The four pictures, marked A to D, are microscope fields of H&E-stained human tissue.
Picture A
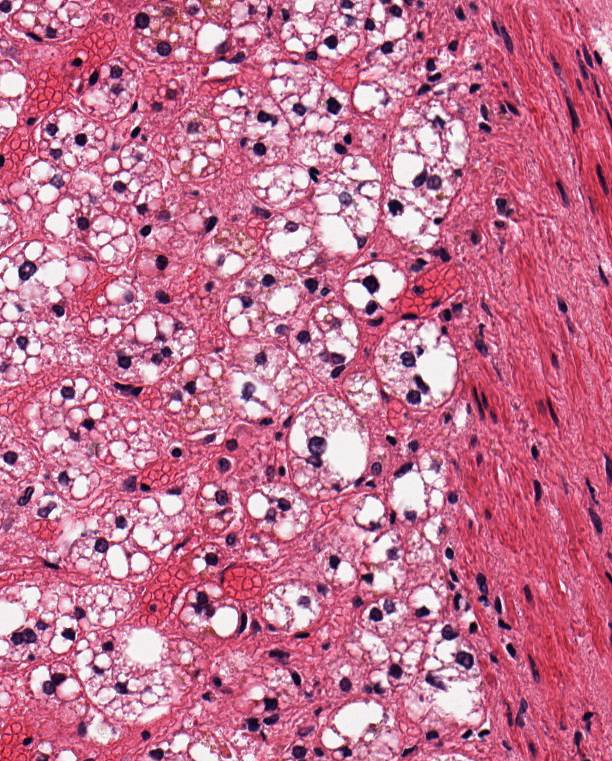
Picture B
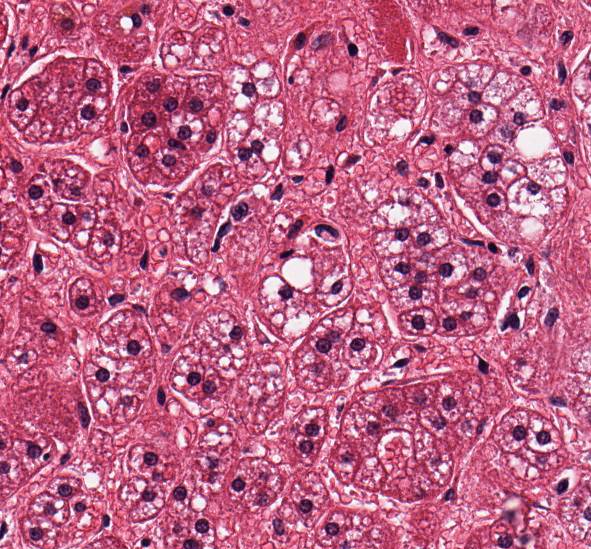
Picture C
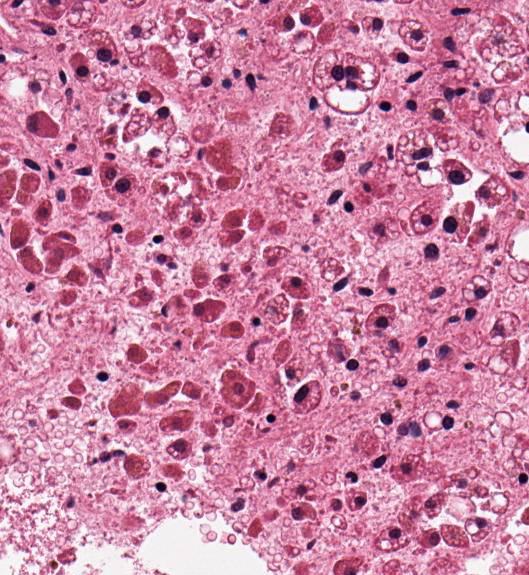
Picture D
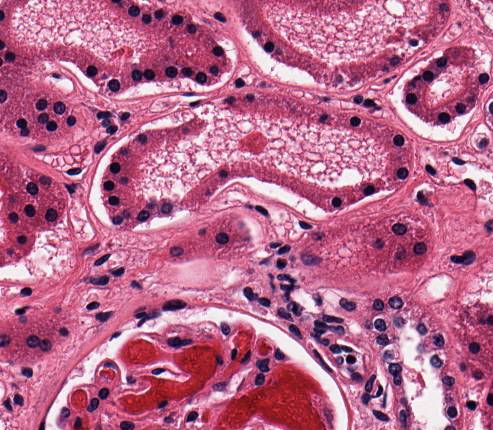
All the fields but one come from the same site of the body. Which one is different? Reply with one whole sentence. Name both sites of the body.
Picture D is the odd one out: it comes from the renal cortex, while the others come from the adrenal gland.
